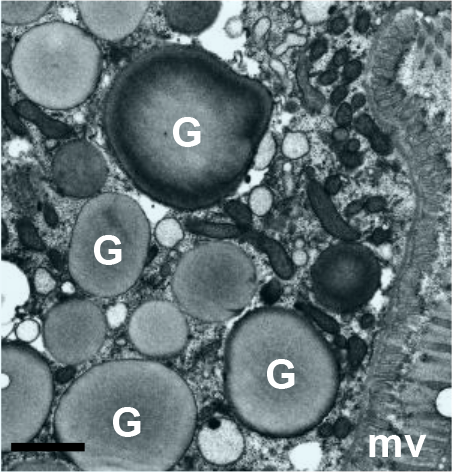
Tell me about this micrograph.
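This electron micrograph shows a cross-section through an intestinal cell whose ultrastructure remains well preserved. The cytoplasm is dense and evenly filled with ground substance. Many smaller mitochondria and vesicles lie between them. A brush border of microvilli lines the right edge, facing the lumen.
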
